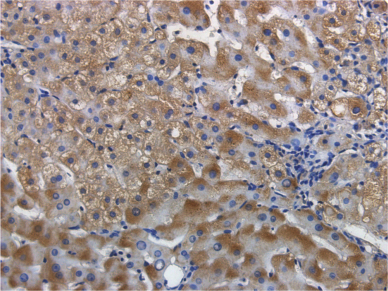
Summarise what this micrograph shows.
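Liver parenchyma in which the hepatocytes carry brown cytoplasmic staining of varying intensity. The hepatocytes are large polygonal cells with round, centrally placed blue nuclei, some with visible nucleoli, arranged in plates separated by narrow clear sinusoidal spaces. Near the right middle of the field lies a cluster of small cells with dense, dark blue round nuclei and scant cytoplasm between the hepatocyte plates, standing out from the surrounding large cells.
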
